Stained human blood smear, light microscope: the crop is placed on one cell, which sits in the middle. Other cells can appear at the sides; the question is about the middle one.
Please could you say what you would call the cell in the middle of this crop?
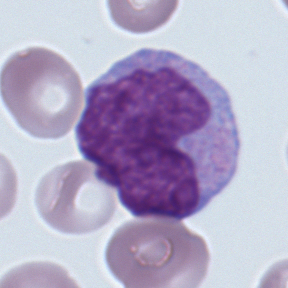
atypical promyelocyte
